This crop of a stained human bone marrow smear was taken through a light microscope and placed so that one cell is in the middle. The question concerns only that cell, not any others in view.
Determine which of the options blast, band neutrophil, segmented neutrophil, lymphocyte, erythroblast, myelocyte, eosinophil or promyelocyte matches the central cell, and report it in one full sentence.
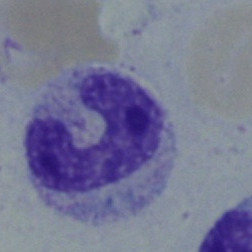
The cell the crop is centered on is a band neutrophil.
